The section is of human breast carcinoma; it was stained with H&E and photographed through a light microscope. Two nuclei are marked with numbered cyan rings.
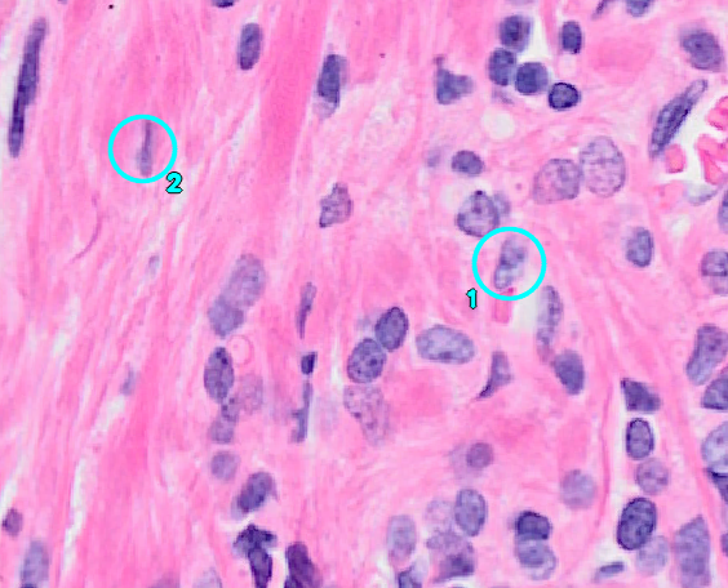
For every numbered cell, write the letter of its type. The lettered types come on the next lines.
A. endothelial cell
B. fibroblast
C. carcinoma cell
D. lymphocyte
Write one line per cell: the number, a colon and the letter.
1: A
2: B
